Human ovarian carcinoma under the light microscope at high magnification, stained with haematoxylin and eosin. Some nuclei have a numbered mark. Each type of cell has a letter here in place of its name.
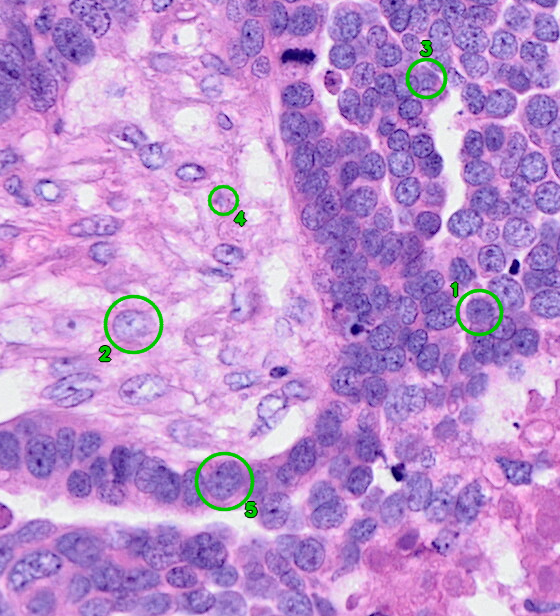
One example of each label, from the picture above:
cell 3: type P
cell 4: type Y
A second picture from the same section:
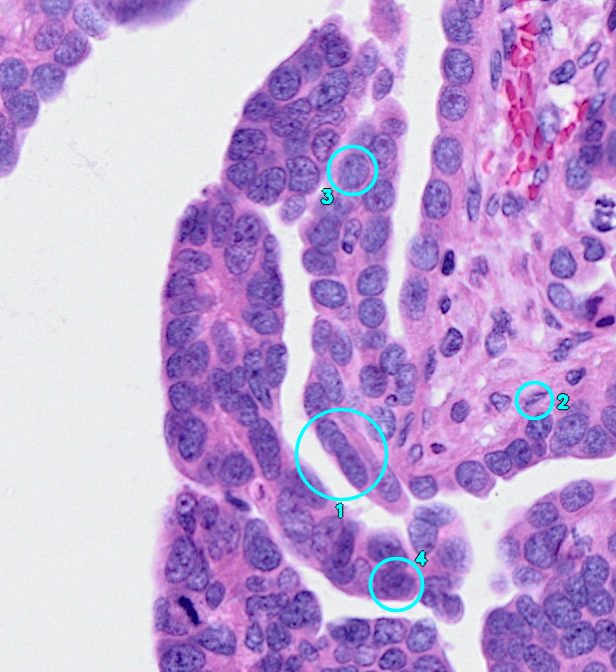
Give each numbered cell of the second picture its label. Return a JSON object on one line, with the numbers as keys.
{"1": "type P", "2": "type Y", "3": "type P", "4": "type P"}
